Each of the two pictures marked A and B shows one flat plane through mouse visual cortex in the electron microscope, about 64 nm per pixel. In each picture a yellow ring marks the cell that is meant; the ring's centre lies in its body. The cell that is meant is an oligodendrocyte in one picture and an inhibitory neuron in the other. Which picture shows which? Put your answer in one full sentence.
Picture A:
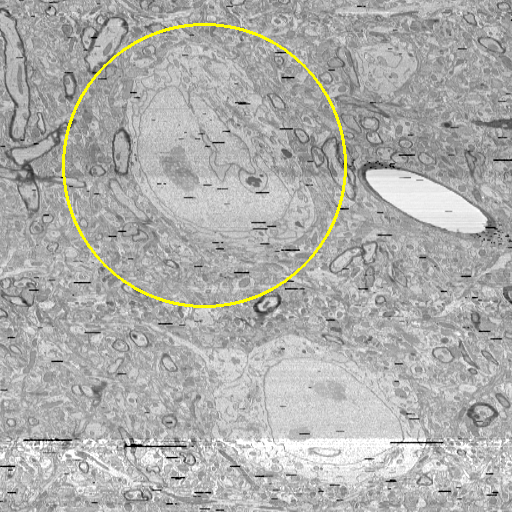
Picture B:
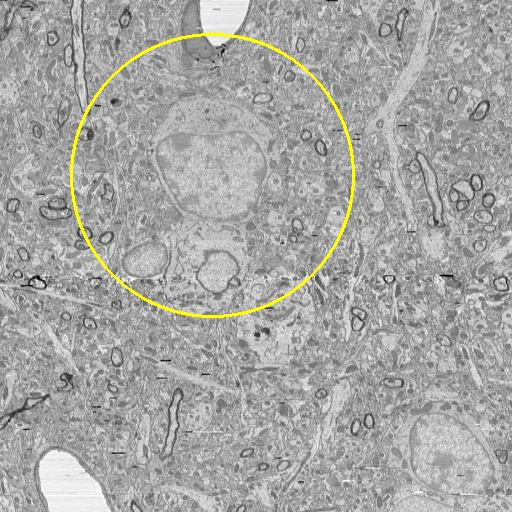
Picture A is of an inhibitory neuron, and picture B is of an oligodendrocyte.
